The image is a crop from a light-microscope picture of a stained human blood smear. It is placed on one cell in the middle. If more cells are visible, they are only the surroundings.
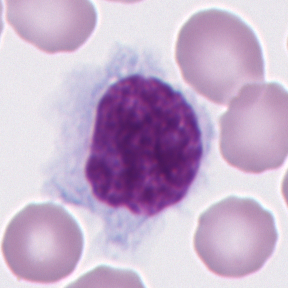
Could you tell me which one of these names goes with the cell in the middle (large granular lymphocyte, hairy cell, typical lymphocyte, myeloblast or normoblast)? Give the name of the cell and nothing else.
hairy cell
